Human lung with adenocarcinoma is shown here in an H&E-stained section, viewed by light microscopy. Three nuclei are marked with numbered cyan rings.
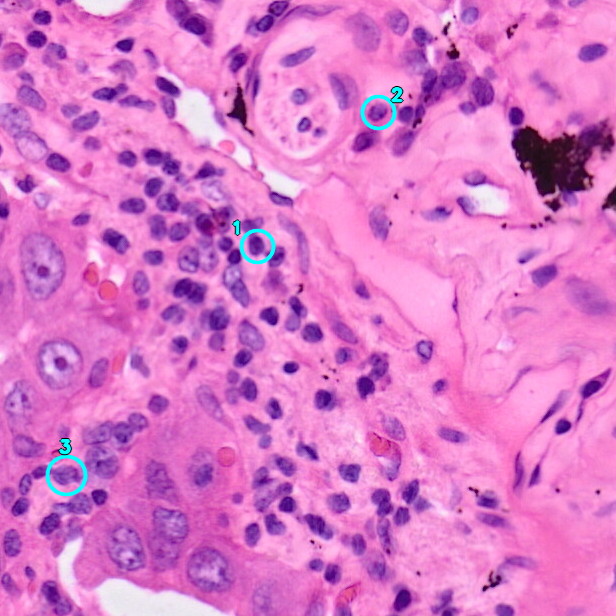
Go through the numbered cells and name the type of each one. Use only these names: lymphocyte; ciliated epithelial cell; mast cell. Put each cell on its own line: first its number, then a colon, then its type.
1: lymphocyte
2: mast cell
3: lymphocyte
